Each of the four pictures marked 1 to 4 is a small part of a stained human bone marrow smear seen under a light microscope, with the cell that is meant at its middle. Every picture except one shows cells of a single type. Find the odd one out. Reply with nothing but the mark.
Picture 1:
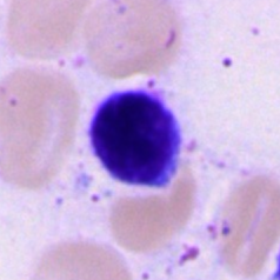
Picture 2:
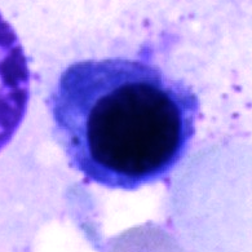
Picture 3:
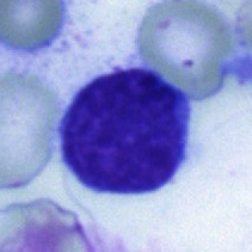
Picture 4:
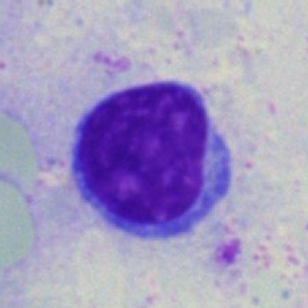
2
